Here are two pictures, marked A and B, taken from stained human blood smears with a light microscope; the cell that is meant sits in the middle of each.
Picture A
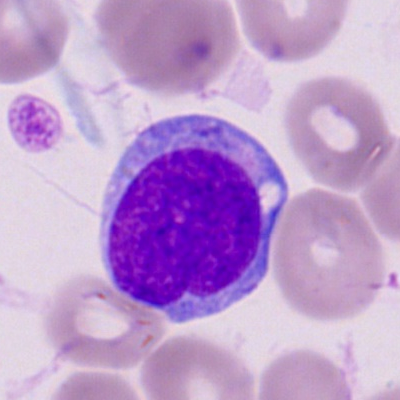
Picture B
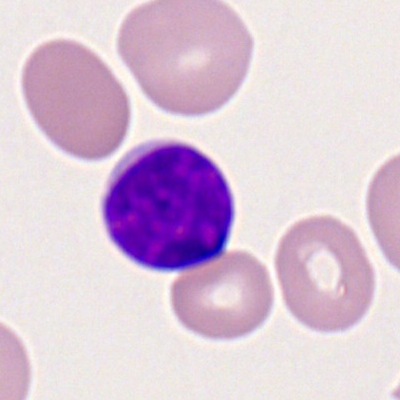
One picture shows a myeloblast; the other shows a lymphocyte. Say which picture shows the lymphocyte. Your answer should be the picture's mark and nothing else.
B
